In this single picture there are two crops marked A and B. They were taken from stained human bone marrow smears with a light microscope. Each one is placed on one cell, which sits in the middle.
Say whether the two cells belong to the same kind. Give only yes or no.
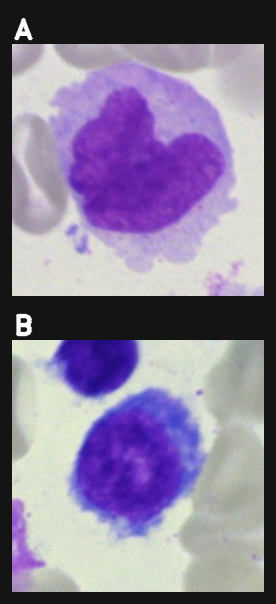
no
